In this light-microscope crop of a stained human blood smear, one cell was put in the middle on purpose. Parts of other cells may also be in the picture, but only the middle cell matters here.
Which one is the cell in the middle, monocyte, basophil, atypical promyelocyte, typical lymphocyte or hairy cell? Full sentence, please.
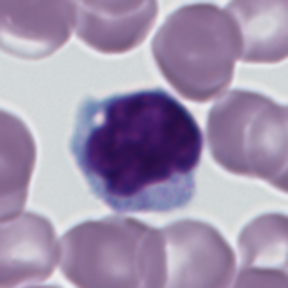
The middle cell in this particular crop is a typical lymphocyte.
